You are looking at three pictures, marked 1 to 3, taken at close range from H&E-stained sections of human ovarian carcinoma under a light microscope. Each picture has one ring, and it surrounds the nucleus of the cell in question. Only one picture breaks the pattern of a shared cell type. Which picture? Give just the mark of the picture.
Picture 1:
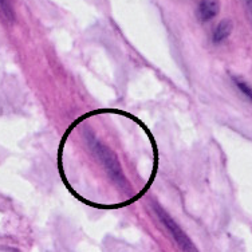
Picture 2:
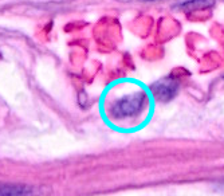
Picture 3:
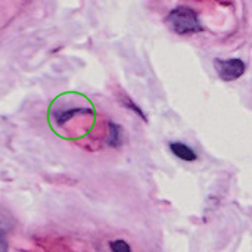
1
